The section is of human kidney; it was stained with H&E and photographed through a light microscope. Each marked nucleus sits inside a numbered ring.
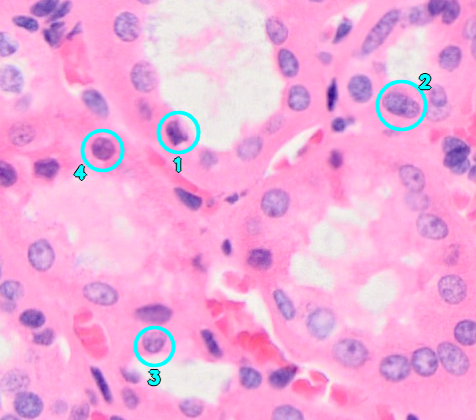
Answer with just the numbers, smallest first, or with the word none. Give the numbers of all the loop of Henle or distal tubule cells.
1, 3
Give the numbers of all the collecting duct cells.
2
